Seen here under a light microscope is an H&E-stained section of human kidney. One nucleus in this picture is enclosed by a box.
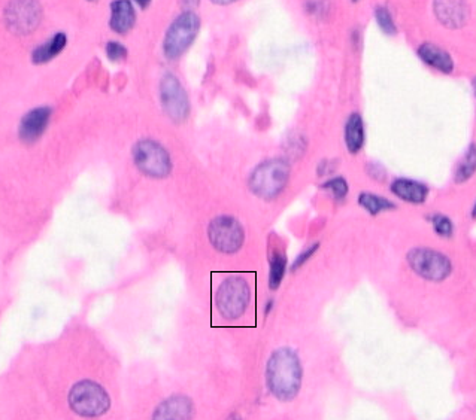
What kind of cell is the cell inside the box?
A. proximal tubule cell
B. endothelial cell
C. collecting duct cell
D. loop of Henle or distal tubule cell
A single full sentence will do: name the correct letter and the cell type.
In this section the cell inside the box is a proximal tubule cell; option A is therefore correct.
